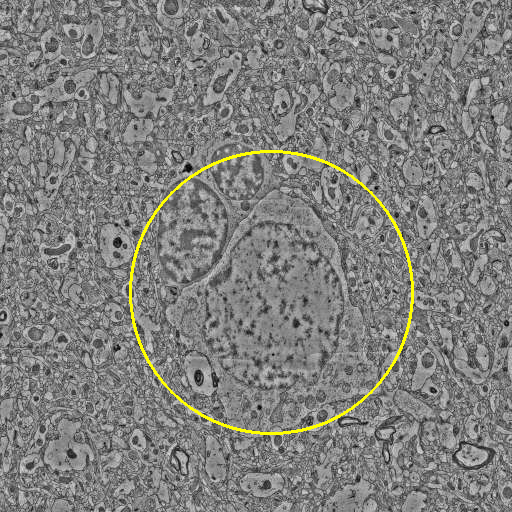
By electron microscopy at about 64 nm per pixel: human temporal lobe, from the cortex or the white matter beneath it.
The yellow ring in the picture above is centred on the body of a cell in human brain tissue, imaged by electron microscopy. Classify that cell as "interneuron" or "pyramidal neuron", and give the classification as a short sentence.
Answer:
The cell in the middle of the ring is an interneuron.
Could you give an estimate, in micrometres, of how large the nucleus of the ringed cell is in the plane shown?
Approximately 11 by 9 micrometers in this plane.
